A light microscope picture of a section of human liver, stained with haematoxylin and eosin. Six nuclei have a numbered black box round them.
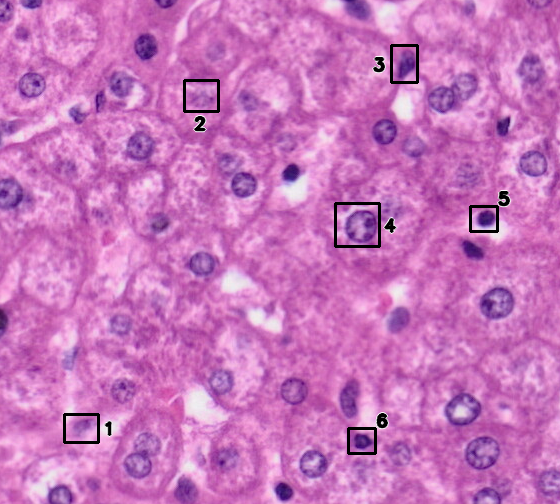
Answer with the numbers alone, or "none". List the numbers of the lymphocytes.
5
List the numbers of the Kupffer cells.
1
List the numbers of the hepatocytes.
2, 4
